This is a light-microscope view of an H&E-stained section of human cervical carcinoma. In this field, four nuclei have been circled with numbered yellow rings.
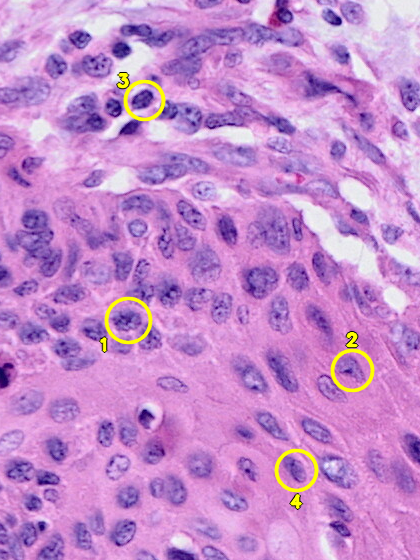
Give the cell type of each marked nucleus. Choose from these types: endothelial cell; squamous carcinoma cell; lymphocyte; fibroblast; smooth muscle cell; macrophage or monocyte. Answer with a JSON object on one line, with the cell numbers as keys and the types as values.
{"1": "squamous carcinoma cell", "2": "squamous carcinoma cell", "3": "lymphocyte", "4": "squamous carcinoma cell"}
